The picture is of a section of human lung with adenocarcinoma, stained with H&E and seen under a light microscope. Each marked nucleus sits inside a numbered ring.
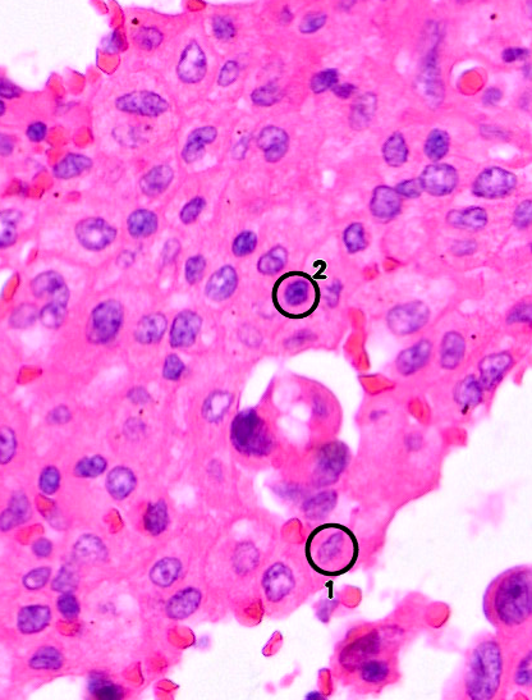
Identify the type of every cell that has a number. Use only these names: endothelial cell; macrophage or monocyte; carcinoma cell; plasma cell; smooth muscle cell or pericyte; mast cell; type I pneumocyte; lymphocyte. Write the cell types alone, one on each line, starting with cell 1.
macrophage or monocyte
lymphocyte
